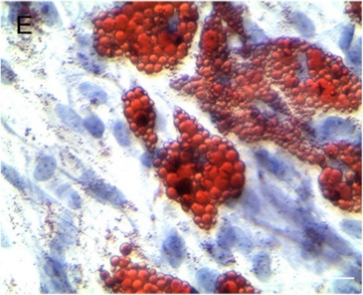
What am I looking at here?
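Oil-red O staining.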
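These are cultured cells in which the cytoplasm is filled with many round red-stained lipid vacuoles of varying size. The vacuoles gather into grape-like clusters that largely hide the cell outlines. Pale blue nuclei of cells with few or no droplets lie between the clusters.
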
